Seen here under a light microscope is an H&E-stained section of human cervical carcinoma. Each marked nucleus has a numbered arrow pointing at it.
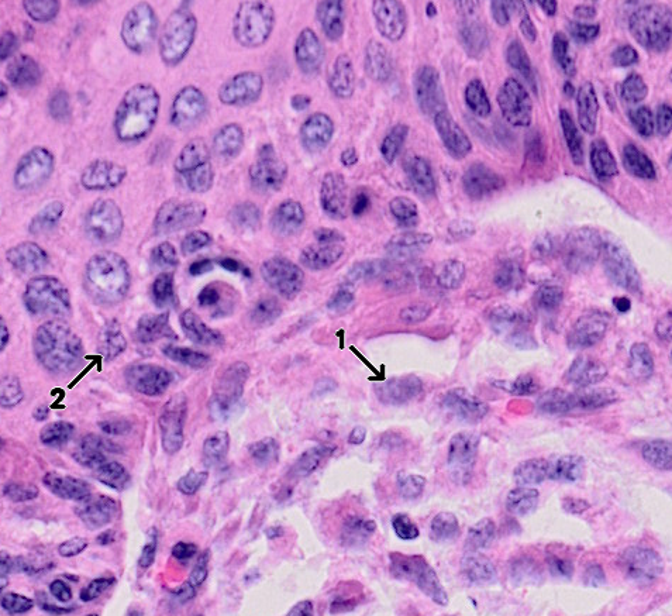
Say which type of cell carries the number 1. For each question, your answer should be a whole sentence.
The cell identified by the number 1 is a fibroblast.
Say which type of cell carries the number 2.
The cell bearing label 2 corresponds to a squamous carcinoma cell.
